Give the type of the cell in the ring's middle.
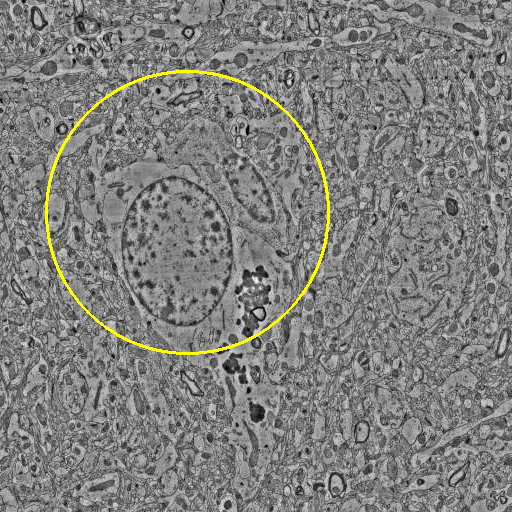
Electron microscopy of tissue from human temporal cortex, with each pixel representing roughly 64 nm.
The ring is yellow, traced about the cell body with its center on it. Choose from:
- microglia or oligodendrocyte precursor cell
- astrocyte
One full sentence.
Here, an astrocyte is the cell lying at the center of the yellow ring.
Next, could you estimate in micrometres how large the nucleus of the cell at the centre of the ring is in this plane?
The nucleus appears roughly 10 by 7 micrometres in this plane.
